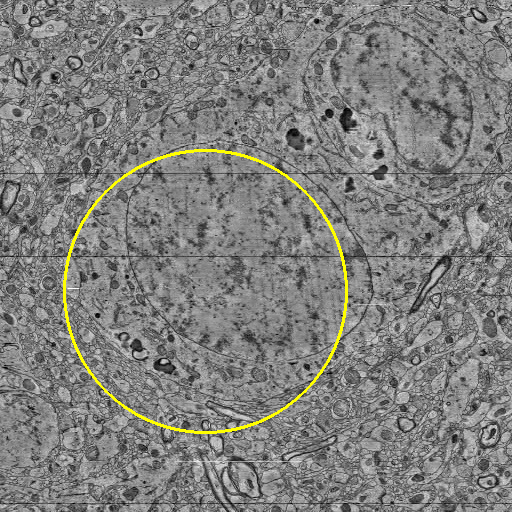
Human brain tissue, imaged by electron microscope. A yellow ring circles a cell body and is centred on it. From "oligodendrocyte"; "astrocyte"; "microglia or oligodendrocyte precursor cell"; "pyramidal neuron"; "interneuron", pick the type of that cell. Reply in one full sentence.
The cell body at the centre of the yellow ring belongs to a pyramidal neuron.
